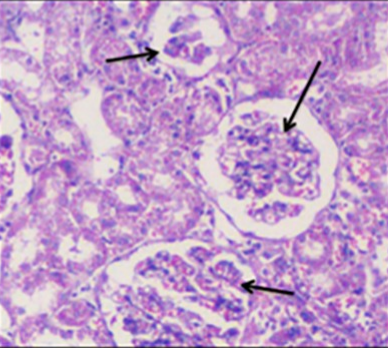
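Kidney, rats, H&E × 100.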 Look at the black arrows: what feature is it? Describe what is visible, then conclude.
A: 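Rounded tufts of capillary loops with many nuclei lie inside a capsule. Tubules with pink cytoplasm surround them. The answer: glomerulus.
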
